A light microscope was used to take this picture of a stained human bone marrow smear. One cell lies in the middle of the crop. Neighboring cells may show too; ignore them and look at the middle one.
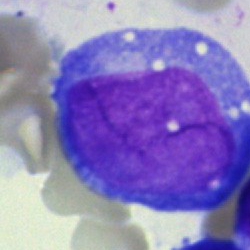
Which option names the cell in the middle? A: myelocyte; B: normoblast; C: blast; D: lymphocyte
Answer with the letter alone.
C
